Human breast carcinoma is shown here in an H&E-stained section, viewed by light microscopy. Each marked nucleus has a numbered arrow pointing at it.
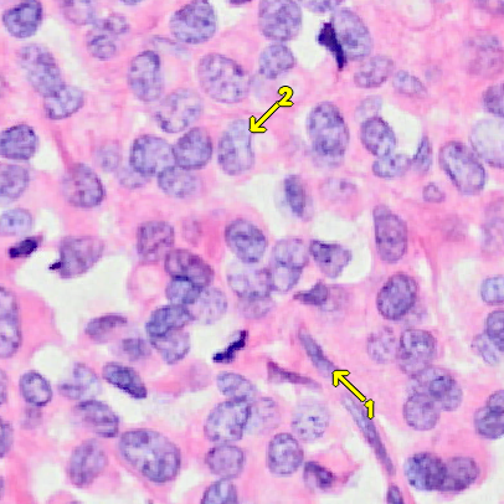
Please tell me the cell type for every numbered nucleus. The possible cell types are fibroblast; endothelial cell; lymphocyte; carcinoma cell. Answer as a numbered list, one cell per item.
1. endothelial cell
2. carcinoma cell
